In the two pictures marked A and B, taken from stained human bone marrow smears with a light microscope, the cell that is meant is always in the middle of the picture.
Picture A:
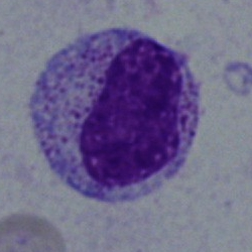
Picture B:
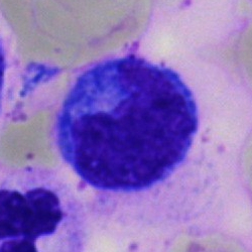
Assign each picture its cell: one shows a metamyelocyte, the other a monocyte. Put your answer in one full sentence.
Picture A shows a metamyelocyte and picture B shows a monocyte.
